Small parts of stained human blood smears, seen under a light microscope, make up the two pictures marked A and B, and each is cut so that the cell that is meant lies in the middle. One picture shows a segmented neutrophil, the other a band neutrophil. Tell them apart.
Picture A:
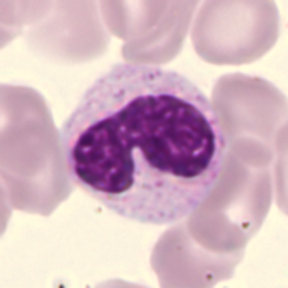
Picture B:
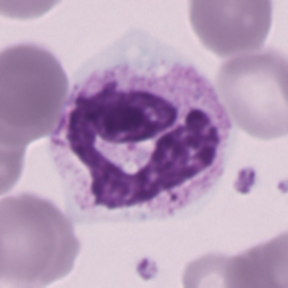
A: band neutrophil
B: segmented neutrophil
